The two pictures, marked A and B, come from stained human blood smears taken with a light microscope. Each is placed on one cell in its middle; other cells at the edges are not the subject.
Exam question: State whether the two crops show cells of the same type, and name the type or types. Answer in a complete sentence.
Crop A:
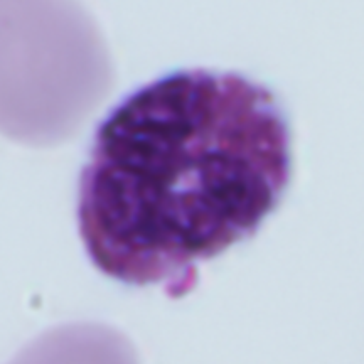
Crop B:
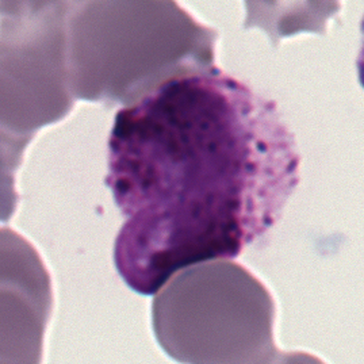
No, crop A features an eosinophil, while crop B features a basophil.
